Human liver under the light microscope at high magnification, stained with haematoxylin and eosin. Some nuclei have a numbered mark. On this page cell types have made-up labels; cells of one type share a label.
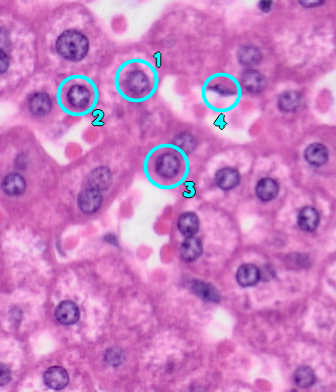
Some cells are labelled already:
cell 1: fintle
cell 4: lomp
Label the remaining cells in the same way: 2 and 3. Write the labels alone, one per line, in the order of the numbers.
fintle
fintle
